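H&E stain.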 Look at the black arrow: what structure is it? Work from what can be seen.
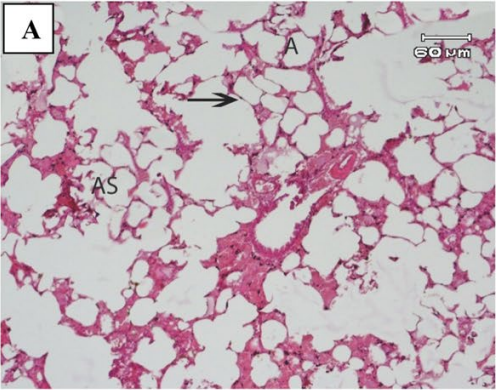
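Thin interalveolar septa. The arrow points to thin pink walls separating empty air spaces. The walls are only a few cells thick with sparse nuclei.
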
